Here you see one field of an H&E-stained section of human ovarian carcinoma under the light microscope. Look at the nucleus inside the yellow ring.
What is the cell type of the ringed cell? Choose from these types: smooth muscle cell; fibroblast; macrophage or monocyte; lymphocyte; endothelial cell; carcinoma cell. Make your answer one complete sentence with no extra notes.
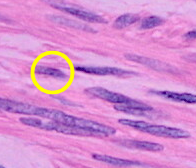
As for its identity, the ringed cell is a smooth muscle cell.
